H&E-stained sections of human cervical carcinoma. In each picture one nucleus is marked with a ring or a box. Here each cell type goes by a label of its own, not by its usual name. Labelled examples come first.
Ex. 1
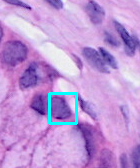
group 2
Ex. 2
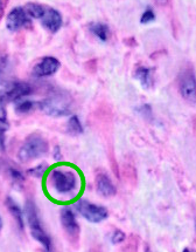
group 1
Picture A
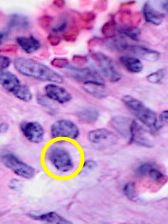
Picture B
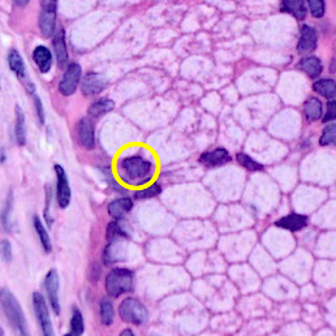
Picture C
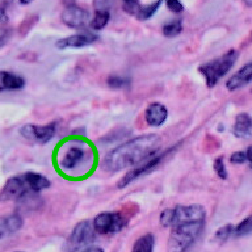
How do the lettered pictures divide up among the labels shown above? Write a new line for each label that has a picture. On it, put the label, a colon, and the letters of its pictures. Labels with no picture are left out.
group 2: B
group 1: A, C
